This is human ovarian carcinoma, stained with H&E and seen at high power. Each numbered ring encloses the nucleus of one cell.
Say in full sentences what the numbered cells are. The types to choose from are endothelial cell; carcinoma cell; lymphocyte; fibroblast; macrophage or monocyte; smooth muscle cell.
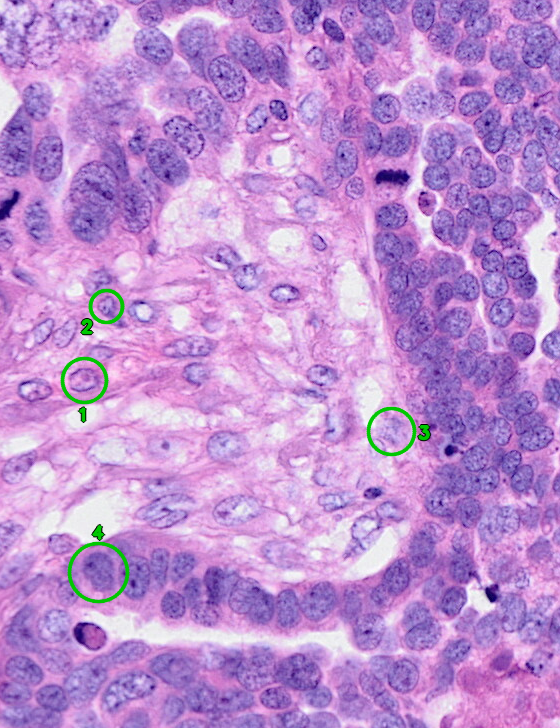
Cell 1 is a fibroblast, cell 2 is a fibroblast, cell 3 is a fibroblast and cell 4 is a carcinoma cell.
